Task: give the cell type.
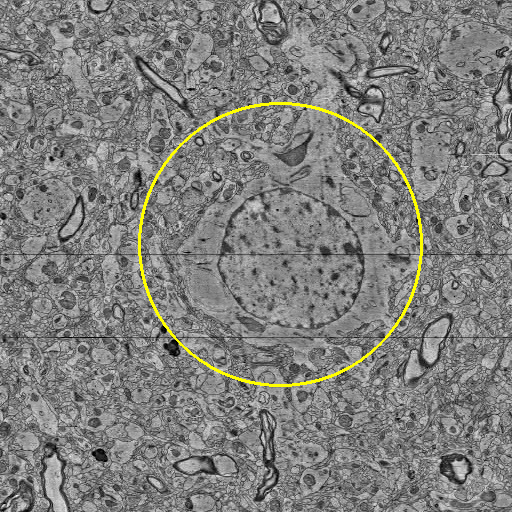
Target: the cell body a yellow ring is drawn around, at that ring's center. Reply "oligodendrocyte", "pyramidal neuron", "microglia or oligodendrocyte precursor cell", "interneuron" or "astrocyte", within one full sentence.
In this picture, the cell whose body lies at the ring's center is an astrocyte.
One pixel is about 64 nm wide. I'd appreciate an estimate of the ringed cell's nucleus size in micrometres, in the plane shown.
The nucleus measures about 9 micrometers across in this plane.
